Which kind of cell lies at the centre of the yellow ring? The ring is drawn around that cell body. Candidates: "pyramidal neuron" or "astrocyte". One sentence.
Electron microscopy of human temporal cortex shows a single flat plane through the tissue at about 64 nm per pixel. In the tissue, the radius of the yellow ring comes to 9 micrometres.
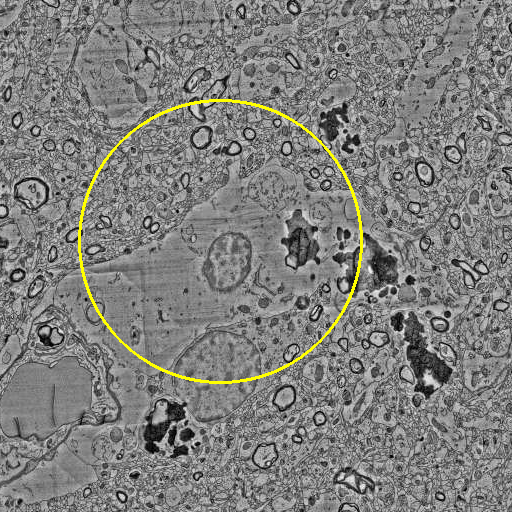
Lying at the centre of the ring is an astrocyte.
